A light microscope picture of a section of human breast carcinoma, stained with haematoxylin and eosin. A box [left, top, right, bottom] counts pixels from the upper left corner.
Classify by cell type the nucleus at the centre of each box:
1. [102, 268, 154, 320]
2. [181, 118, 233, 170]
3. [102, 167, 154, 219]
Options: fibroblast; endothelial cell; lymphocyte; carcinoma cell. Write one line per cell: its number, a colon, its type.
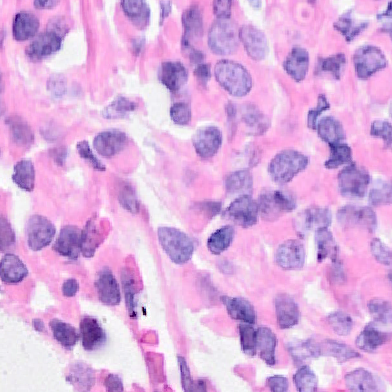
1: endothelial cell
2: carcinoma cell
3: endothelial cell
